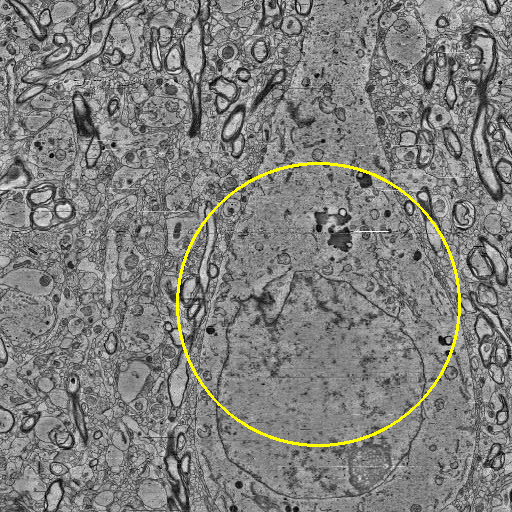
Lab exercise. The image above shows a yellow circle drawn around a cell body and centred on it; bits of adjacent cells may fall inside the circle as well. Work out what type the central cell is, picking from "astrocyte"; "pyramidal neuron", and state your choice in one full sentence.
In the image above, the cell at the centre of the yellow circle is a pyramidal neuron.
